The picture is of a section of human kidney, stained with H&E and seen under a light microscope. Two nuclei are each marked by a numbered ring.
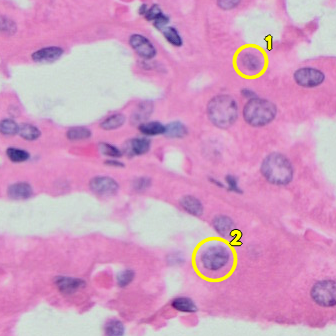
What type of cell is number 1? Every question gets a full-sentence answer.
The numeral 1 marks a proximal tubule cell in this section.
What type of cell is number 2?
The cell tagged with 2 in this tissue section is a loop of Henle or distal tubule cell.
